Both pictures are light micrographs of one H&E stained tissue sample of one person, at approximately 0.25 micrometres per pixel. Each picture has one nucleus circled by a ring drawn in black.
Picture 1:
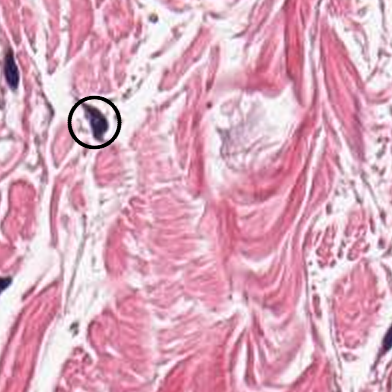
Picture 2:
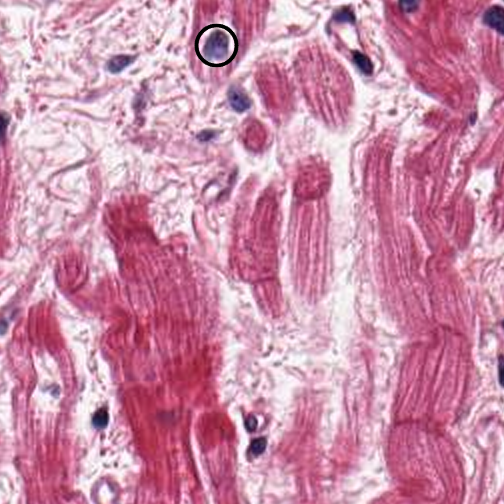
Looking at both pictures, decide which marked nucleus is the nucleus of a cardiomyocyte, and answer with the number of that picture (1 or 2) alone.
2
